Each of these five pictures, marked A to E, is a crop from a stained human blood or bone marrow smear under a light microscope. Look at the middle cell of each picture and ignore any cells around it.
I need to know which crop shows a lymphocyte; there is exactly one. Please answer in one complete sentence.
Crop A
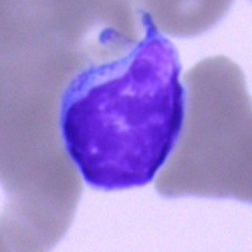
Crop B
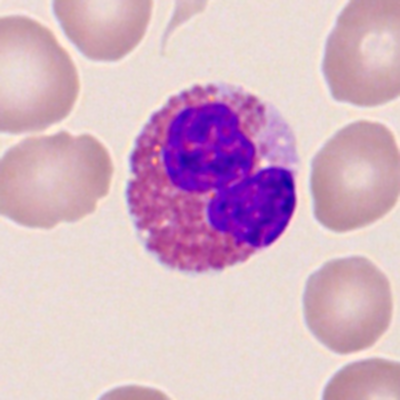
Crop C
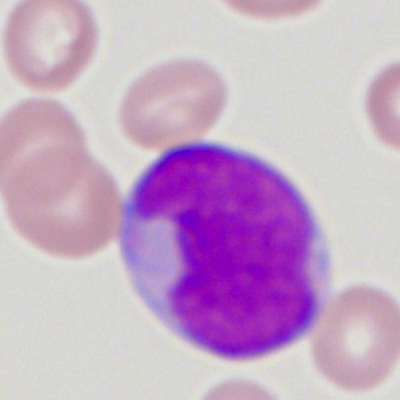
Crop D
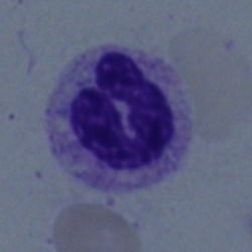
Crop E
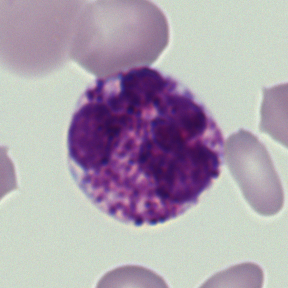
Among the crops given, only crop A shows a lymphocyte.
